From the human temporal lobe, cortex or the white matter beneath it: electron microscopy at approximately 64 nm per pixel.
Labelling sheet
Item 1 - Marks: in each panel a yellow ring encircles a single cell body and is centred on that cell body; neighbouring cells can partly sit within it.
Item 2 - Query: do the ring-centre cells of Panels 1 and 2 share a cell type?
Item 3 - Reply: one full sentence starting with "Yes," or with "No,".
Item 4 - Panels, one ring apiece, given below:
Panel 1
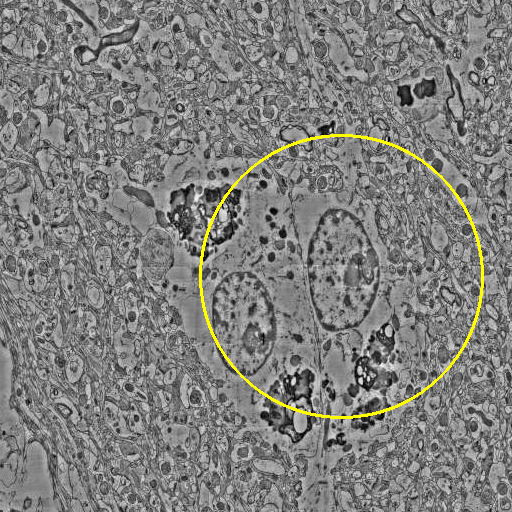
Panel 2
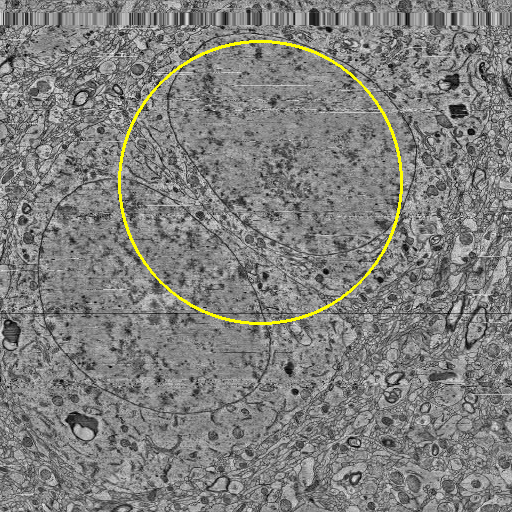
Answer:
No, Panel 1 and Panel 2 show two cell types at the centres of their rings.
